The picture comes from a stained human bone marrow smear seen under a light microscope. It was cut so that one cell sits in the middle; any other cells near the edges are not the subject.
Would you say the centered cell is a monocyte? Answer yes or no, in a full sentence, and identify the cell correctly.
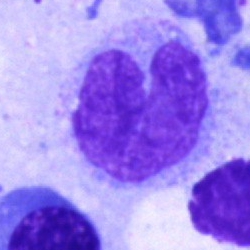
Yes, the cell occupying the center is a monocyte.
